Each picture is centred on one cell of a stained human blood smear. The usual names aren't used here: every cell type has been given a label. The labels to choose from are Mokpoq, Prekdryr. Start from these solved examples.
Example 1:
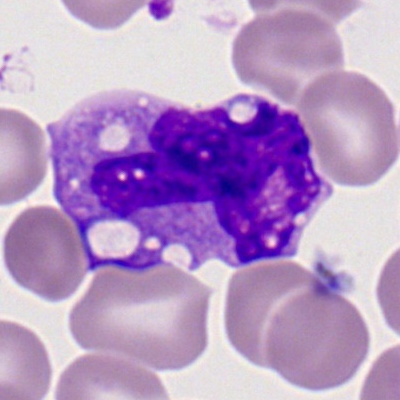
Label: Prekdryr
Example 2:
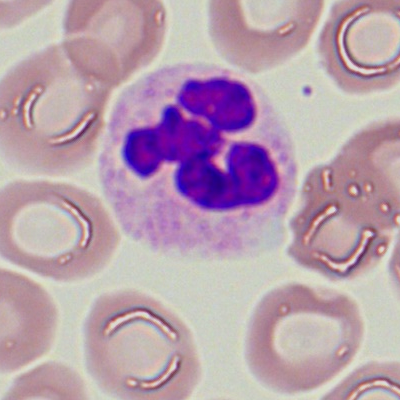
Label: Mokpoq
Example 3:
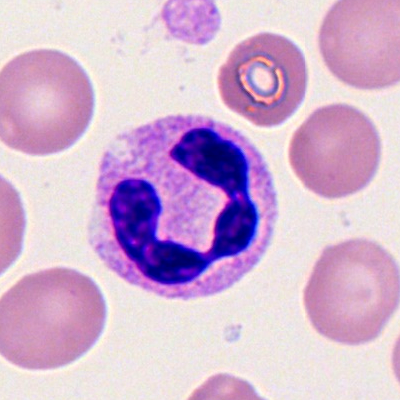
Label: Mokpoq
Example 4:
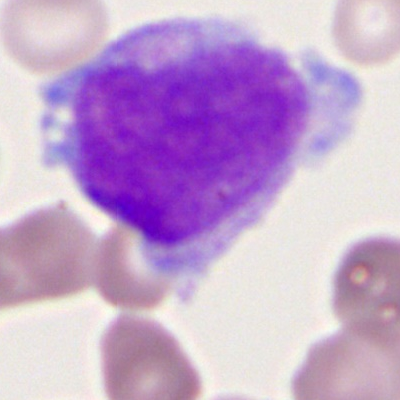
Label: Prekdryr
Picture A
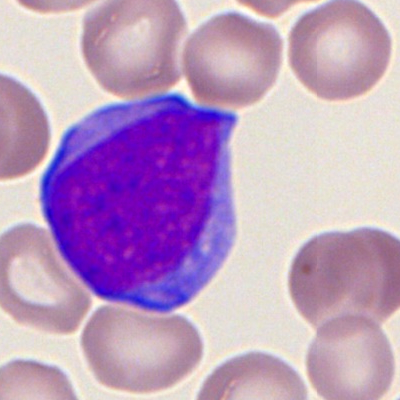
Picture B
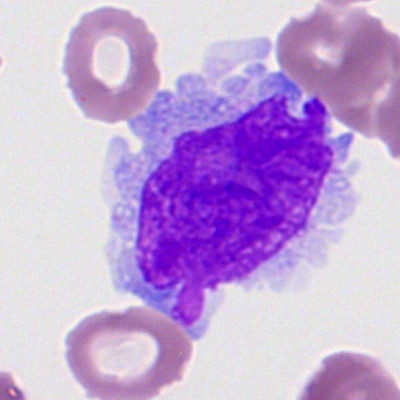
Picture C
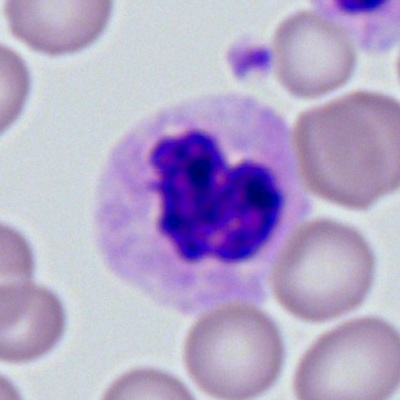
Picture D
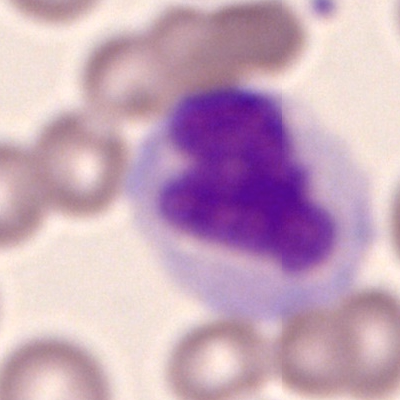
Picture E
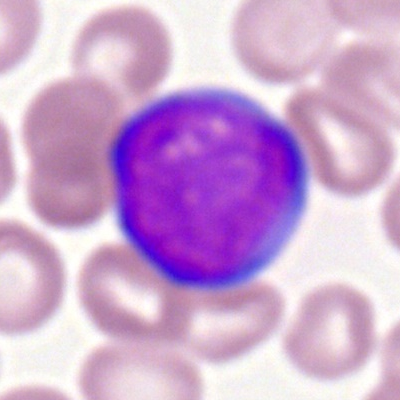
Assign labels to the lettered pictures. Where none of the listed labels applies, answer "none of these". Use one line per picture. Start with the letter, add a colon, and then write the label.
A: none of these
B: Prekdryr
C: Mokpoq
D: Prekdryr
E: none of these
